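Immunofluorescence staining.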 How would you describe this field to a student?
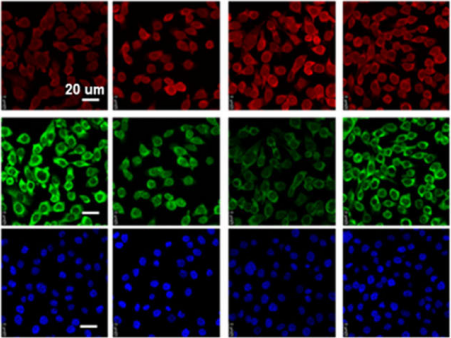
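In the red and green rows the label fills the cytoplasm and rims each cell, leaving a darker central zone where the nucleus lies, and neighbouring cells touch one another. In the blue row the nuclei are round to oval, evenly stained and scattered fairly evenly across the field.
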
